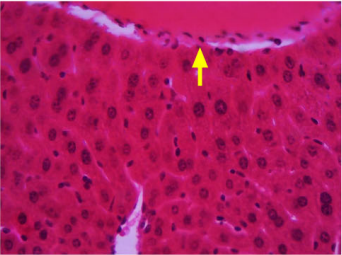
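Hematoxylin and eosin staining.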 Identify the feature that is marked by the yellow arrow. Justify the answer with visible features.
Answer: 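The arrow points to the thin lining of a large lumen. The lumen has a thin wall with flattened nuclei. The answer: centrilobular vein.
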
